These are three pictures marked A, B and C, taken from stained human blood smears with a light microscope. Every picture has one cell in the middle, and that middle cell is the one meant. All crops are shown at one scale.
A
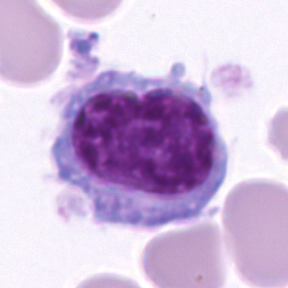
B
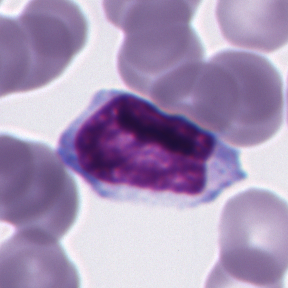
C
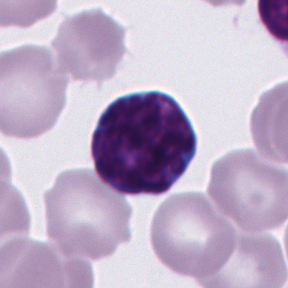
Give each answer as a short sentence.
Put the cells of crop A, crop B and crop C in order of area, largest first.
The order is A, B, C, beginning with the largest.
